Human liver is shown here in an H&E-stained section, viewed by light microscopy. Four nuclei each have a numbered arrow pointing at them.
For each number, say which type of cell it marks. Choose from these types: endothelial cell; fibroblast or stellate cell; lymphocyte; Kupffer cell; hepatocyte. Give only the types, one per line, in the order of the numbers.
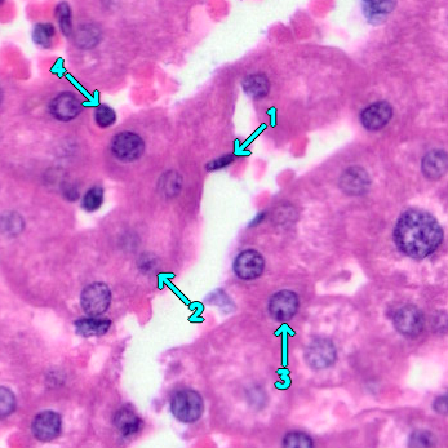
fibroblast or stellate cell
hepatocyte
hepatocyte
lymphocyte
